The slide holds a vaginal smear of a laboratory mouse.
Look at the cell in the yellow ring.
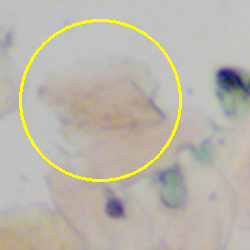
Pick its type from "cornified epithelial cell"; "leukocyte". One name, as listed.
cornified epithelial cell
